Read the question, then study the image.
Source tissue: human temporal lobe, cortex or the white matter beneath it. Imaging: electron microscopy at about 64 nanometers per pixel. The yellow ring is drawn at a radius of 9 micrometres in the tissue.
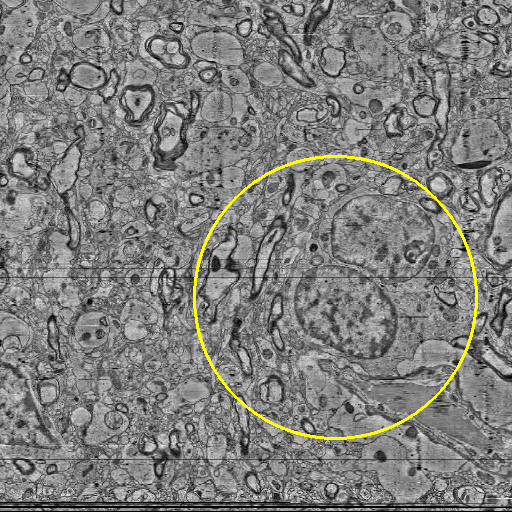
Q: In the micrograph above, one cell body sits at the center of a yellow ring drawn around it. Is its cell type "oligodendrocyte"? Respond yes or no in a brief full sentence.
Yes, its cell type is that one.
